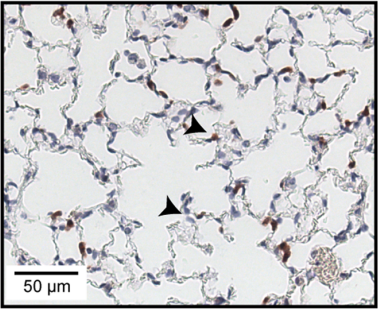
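Lung tissue with thin alveolar walls and pale blue nuclei, among which many small cells with brown stain lie scattered within the septa. A cluster of unstained red blood cells sits in a vessel at the lower right.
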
